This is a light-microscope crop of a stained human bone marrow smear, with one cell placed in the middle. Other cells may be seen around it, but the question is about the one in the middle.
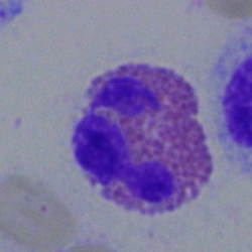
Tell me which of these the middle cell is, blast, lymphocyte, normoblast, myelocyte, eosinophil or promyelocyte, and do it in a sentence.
The middle position in this crop is taken by an eosinophil.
